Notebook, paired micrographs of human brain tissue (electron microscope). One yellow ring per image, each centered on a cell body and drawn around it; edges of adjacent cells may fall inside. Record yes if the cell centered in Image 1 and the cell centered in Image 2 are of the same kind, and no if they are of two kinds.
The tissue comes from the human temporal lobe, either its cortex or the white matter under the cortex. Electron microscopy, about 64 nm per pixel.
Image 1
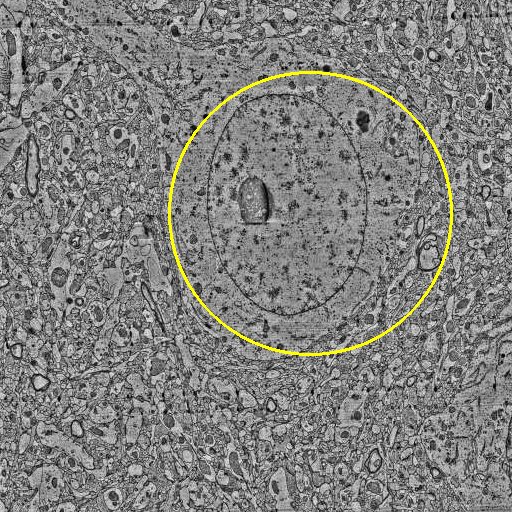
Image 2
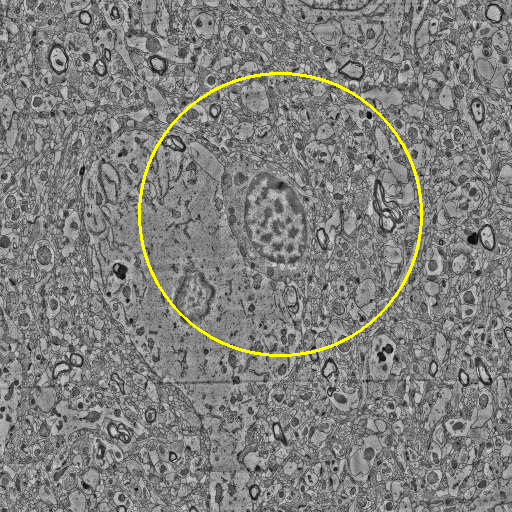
no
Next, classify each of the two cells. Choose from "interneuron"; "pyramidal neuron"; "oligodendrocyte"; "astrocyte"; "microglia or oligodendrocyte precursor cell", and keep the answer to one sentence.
In the first picture it is a pyramidal neuron; in the second it is an oligodendrocyte.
